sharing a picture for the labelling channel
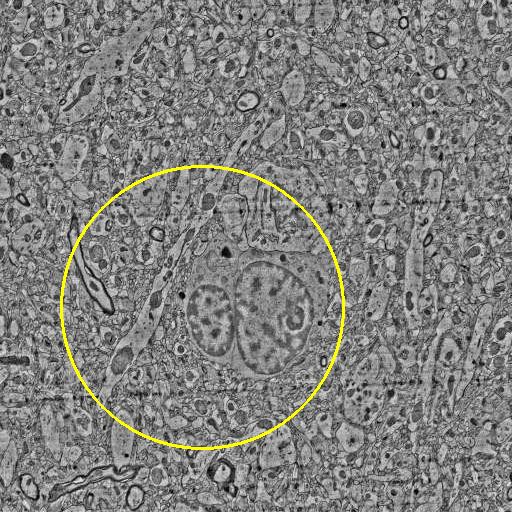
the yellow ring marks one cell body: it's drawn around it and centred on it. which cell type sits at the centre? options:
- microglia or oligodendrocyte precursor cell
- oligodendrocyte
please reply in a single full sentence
In the picture, the cell at the ring's centre is an oligodendrocyte, going by the list.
